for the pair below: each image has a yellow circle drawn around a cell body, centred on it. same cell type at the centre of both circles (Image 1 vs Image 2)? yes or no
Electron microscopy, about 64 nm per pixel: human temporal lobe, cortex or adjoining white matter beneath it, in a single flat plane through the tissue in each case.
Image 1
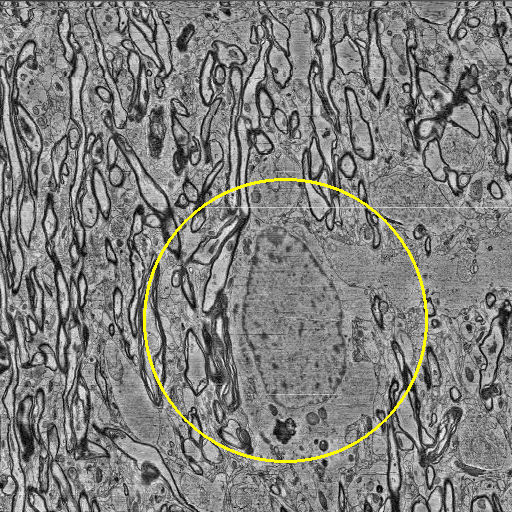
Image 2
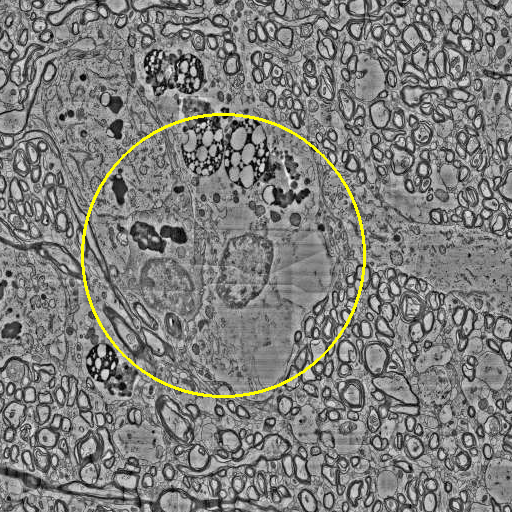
yes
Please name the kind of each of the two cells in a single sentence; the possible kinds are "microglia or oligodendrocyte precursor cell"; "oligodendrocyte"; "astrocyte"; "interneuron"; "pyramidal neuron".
The cell at the ring centre is an astrocyte in both pictures.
